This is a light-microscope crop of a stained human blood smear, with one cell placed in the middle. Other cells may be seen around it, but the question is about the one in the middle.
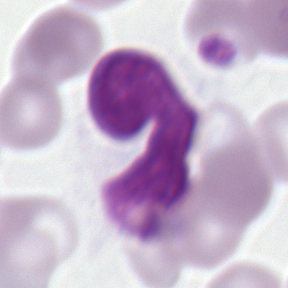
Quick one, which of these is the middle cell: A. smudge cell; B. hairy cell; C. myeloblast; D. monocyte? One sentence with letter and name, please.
The one to choose is option A, as the cell in the middle is a smudge cell.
